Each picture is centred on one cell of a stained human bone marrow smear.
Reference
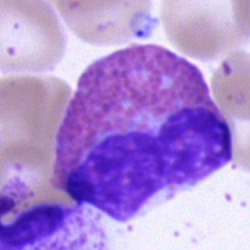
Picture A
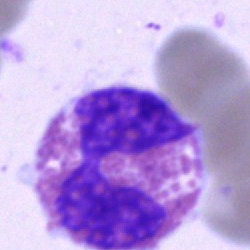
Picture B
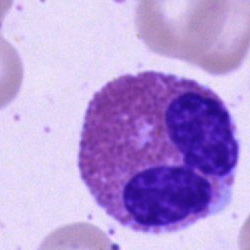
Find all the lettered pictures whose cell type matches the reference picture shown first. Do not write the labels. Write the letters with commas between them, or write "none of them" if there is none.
A, B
